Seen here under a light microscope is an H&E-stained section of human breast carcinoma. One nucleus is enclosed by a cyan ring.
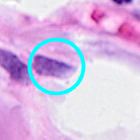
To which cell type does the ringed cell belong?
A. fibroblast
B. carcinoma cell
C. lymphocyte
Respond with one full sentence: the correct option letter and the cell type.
Under option A, the ringed cell is listed as a fibroblast, which is correct.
